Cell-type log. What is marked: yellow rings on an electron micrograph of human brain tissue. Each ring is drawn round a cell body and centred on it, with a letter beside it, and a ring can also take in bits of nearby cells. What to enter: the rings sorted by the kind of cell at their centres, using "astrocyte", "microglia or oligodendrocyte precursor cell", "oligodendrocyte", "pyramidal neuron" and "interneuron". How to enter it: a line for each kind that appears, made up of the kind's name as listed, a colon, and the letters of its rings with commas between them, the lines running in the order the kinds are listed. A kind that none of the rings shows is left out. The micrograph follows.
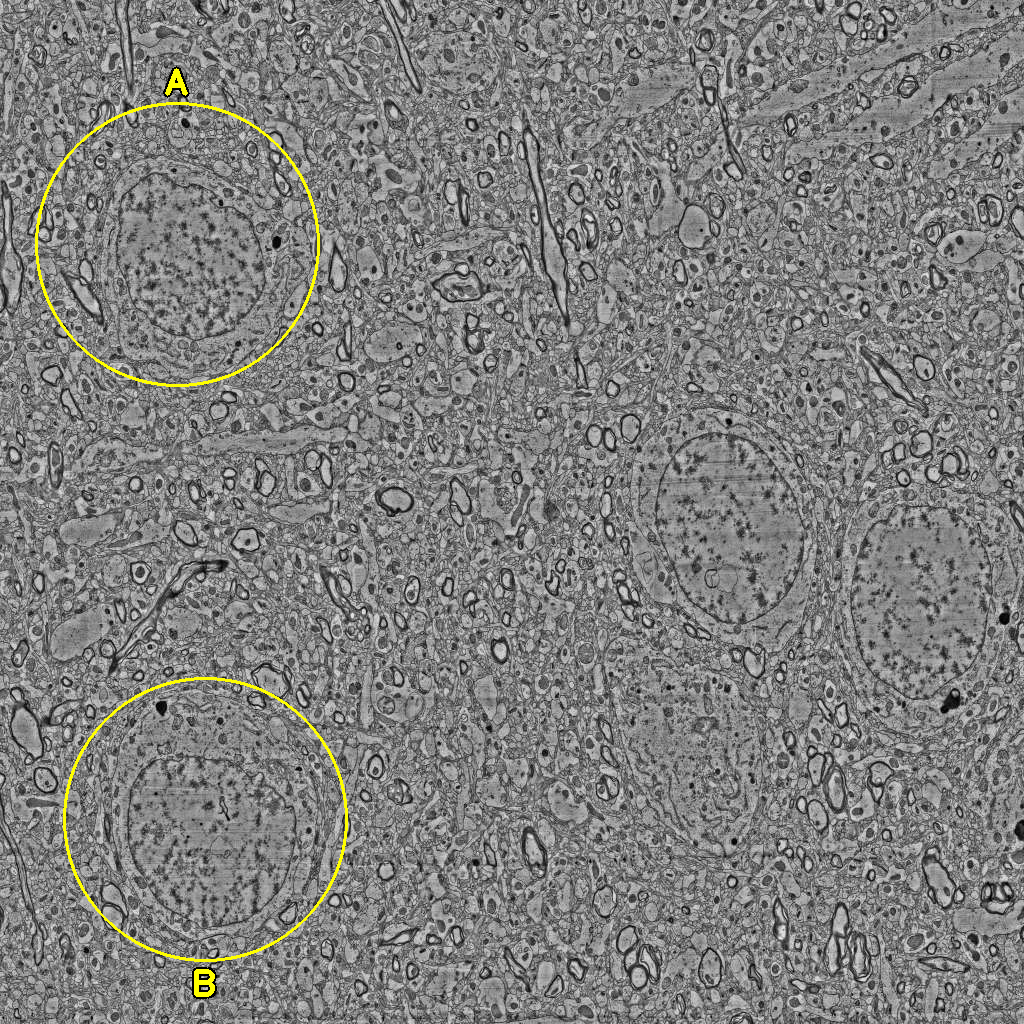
pyramidal neuron: A, B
